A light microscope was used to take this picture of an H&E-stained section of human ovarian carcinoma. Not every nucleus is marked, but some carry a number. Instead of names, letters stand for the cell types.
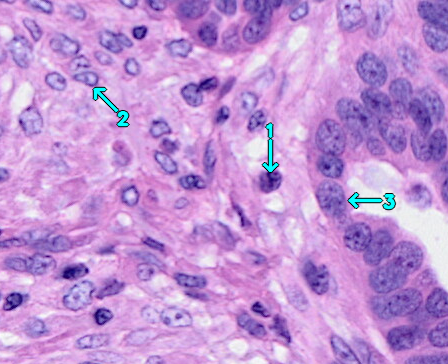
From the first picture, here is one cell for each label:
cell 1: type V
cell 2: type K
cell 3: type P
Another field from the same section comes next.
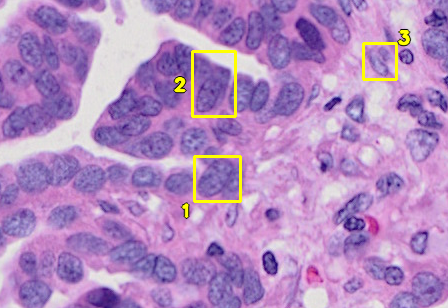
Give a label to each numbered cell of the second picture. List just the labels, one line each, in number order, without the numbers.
type P
type P
type K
